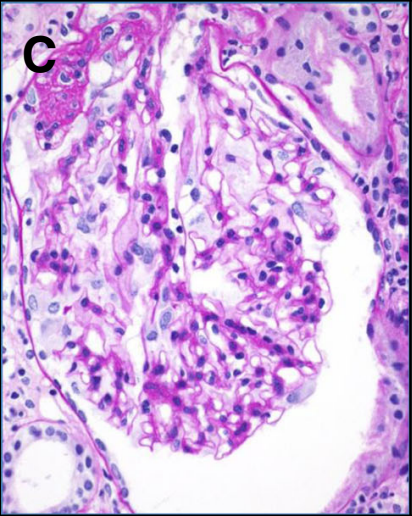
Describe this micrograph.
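The tuft is lobulated, with many dark nuclei of endothelial, mesangial and epithelial cells crowded along the capillary loops. A thin capsule surrounds it, separated from the tuft by a wide clear space. Cross-sections of tubules with pale pink cytoplasm lie around the capsule.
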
